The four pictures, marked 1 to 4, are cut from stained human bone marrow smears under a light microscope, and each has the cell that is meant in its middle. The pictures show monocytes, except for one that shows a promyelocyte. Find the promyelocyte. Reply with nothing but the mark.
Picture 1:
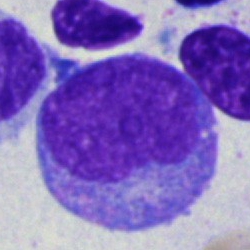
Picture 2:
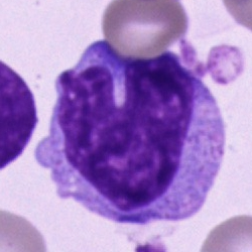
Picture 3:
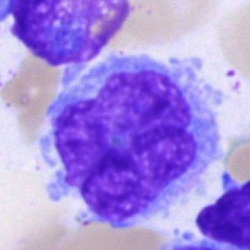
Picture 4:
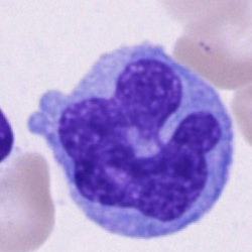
1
